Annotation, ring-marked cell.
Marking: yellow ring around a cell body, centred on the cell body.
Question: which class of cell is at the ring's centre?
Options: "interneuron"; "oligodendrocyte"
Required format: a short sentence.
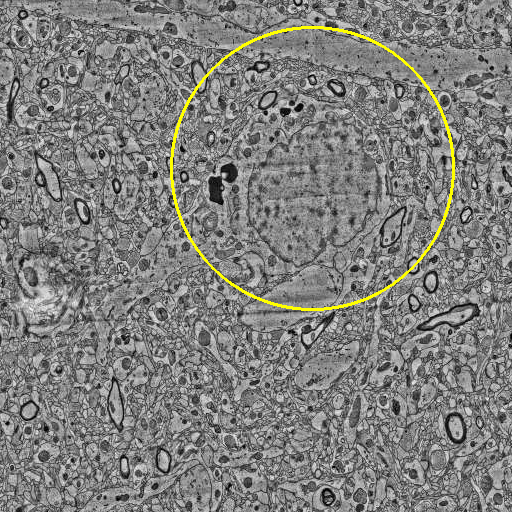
At the ring's centre is an interneuron.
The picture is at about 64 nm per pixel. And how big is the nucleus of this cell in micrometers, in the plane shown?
The nucleus comes to roughly 9 by 8 micrometres in this plane.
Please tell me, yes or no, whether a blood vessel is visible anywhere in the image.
No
